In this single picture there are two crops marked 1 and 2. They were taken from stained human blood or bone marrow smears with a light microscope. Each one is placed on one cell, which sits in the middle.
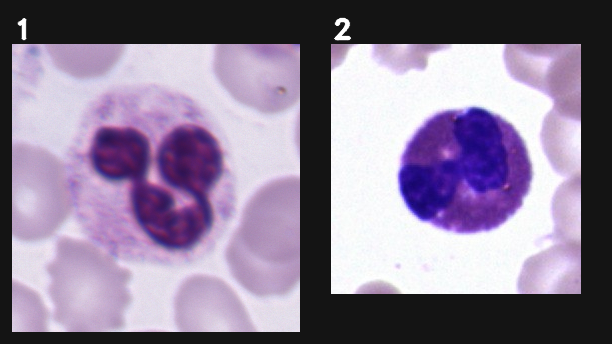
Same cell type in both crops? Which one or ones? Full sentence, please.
No, a segmented neutrophil is shown in crop 1 and an eosinophil in crop 2.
